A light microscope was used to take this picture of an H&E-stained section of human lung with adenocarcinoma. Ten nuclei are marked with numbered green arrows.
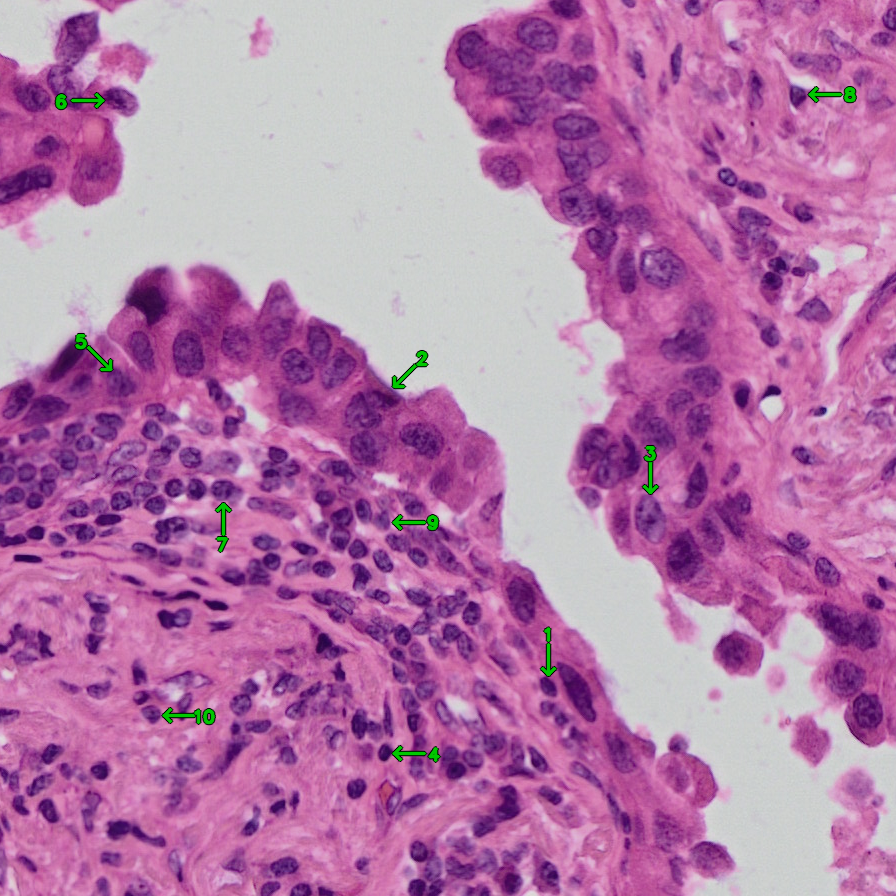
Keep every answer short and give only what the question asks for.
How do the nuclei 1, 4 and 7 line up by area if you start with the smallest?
4, 1, 7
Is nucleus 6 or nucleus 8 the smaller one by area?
8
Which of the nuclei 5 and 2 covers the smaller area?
5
